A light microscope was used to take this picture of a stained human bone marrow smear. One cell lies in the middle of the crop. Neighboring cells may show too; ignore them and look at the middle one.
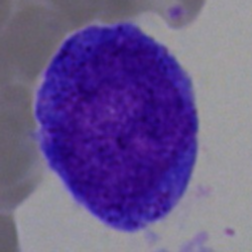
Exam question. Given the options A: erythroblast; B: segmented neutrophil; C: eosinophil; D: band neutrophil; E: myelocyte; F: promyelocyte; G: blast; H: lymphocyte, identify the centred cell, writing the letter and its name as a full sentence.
Option F is the correct selection, for the cell at the centre is a promyelocyte.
